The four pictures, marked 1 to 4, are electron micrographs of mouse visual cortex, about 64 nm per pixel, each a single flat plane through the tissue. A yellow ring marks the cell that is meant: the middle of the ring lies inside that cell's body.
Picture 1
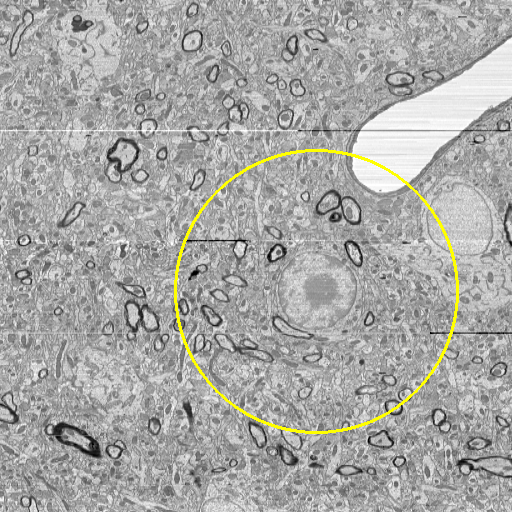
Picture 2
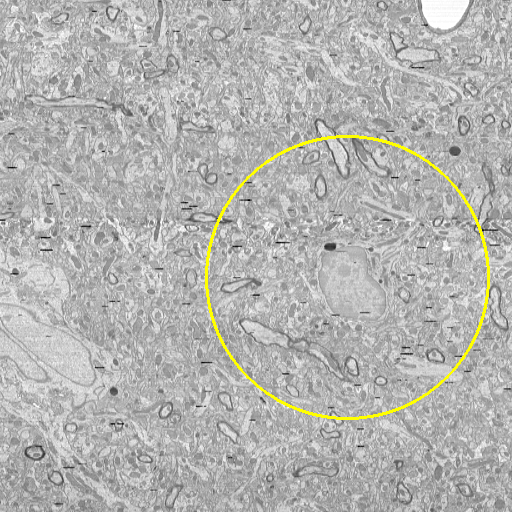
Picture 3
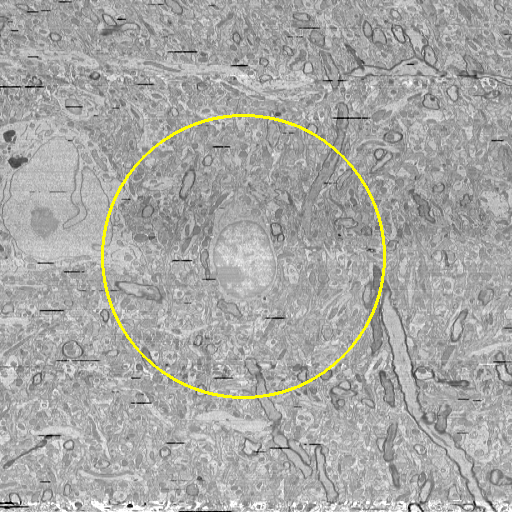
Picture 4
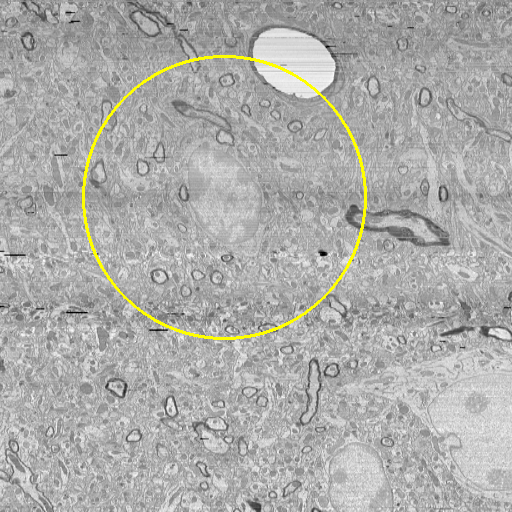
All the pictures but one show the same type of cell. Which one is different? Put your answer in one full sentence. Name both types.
Picture 2 differs, because its cell is a microglial cell and the rest are oligodendrocytes.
